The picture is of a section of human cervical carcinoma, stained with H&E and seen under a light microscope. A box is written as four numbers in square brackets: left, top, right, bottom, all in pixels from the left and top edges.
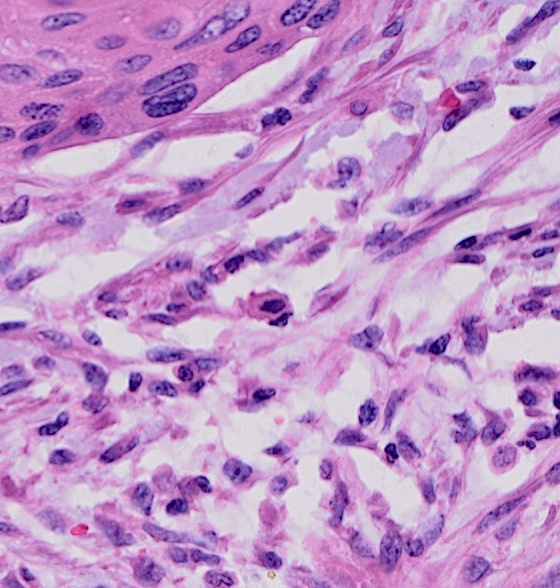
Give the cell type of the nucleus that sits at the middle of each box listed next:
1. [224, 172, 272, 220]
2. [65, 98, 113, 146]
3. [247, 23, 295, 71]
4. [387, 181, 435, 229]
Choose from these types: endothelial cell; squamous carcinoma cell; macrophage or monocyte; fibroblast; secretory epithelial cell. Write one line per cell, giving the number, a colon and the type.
1: fibroblast
2: squamous carcinoma cell
3: squamous carcinoma cell
4: fibroblast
